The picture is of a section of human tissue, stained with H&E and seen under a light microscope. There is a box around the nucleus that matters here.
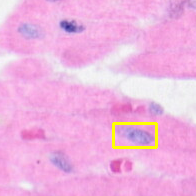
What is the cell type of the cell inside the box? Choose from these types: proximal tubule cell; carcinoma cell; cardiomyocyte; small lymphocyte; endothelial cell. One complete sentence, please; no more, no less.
The category to which the cell inside the box belongs is that of a cardiomyocyte.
